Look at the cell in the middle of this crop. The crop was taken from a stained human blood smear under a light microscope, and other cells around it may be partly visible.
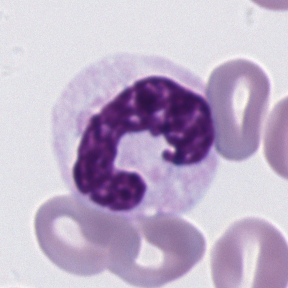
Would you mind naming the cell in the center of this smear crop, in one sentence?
The cell centred in this crop is categorized as a band neutrophil.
